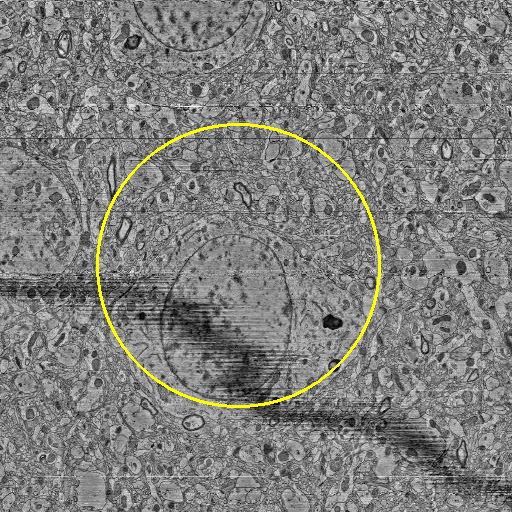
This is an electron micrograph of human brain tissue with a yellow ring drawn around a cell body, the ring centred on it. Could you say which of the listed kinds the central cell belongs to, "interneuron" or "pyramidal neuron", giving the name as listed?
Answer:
pyramidal neuron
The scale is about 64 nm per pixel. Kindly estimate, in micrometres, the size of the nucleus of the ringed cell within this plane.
In this plane, approximately 11 by 8 micrometers.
